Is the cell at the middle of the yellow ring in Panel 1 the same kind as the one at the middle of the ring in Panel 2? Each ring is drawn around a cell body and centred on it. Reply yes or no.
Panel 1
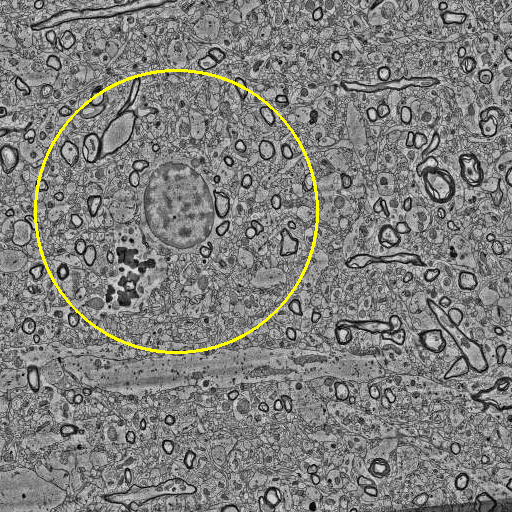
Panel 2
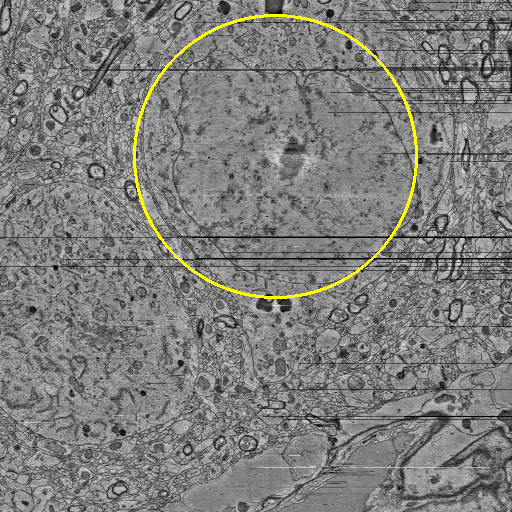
no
